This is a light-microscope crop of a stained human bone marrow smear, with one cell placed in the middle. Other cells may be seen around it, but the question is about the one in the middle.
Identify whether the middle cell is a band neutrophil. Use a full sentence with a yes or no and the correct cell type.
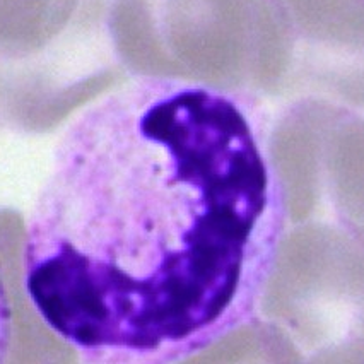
Yes, the cell in the central position is a band neutrophil.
